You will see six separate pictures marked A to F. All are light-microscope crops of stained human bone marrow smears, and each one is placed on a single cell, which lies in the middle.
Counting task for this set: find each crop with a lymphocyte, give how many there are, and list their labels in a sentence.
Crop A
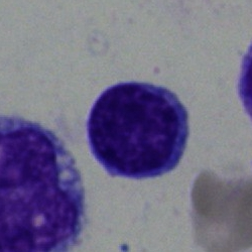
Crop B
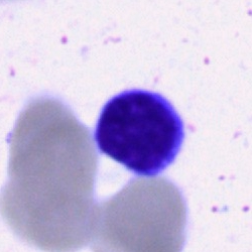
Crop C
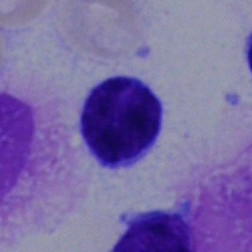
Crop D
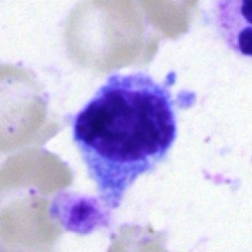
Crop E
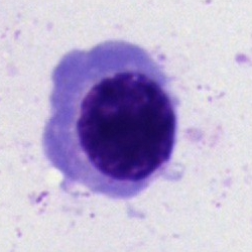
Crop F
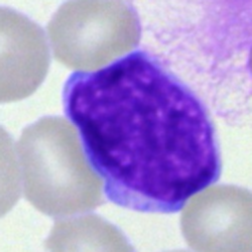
The three crops in which lymphocytes are shown are A, B and C.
